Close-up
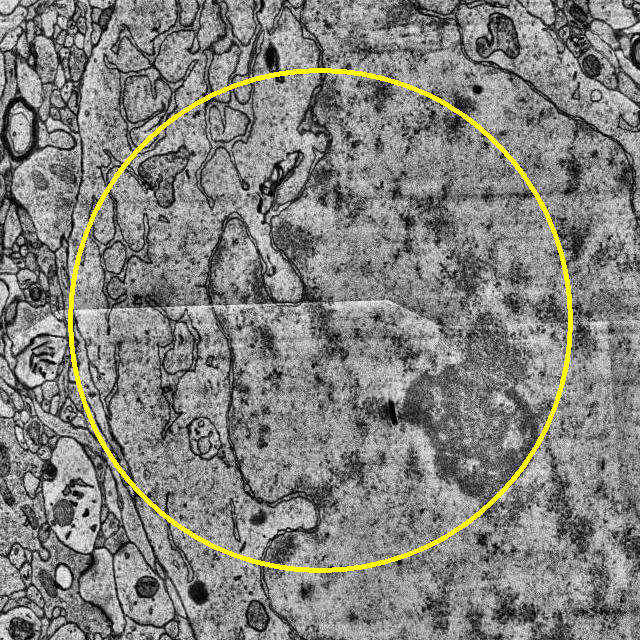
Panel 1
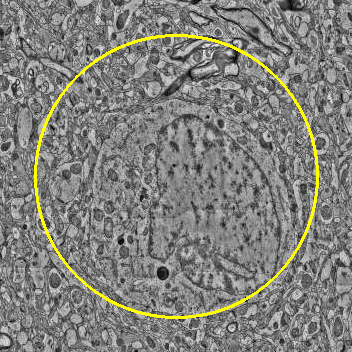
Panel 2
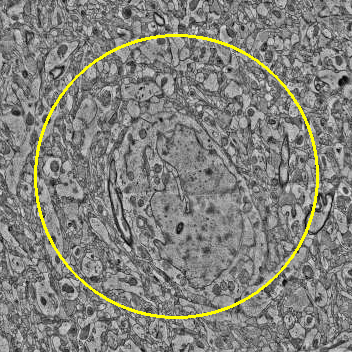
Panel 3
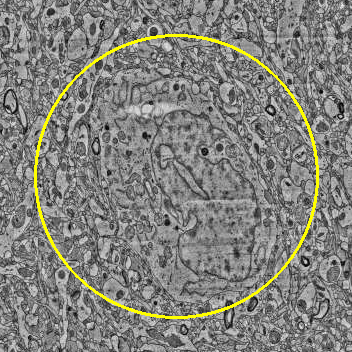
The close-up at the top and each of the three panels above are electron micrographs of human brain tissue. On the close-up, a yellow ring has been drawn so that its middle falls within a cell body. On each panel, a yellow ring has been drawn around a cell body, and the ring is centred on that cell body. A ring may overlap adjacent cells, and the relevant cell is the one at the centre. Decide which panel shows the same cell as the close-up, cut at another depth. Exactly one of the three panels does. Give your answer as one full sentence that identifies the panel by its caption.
Shown in the close-up is the cell marked with a ring in Panel 3.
